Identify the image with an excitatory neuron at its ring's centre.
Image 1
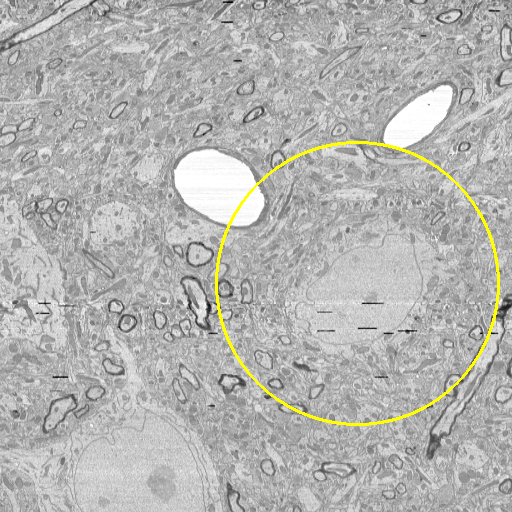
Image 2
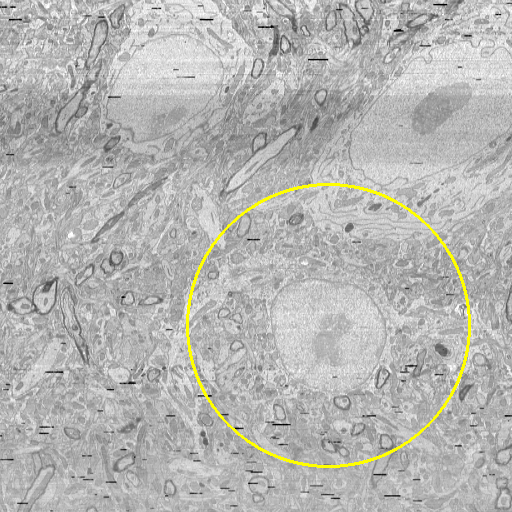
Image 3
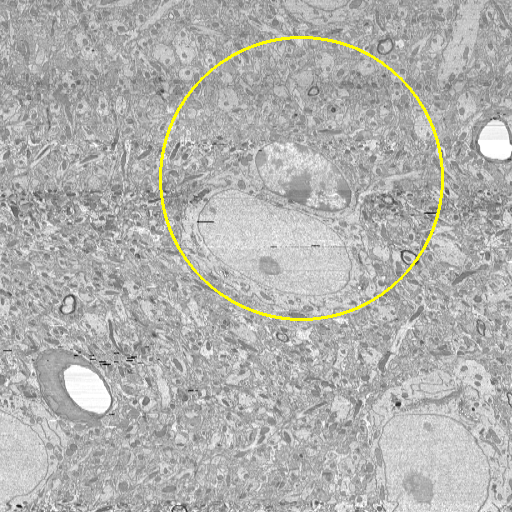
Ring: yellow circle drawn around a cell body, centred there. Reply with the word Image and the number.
Image 1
